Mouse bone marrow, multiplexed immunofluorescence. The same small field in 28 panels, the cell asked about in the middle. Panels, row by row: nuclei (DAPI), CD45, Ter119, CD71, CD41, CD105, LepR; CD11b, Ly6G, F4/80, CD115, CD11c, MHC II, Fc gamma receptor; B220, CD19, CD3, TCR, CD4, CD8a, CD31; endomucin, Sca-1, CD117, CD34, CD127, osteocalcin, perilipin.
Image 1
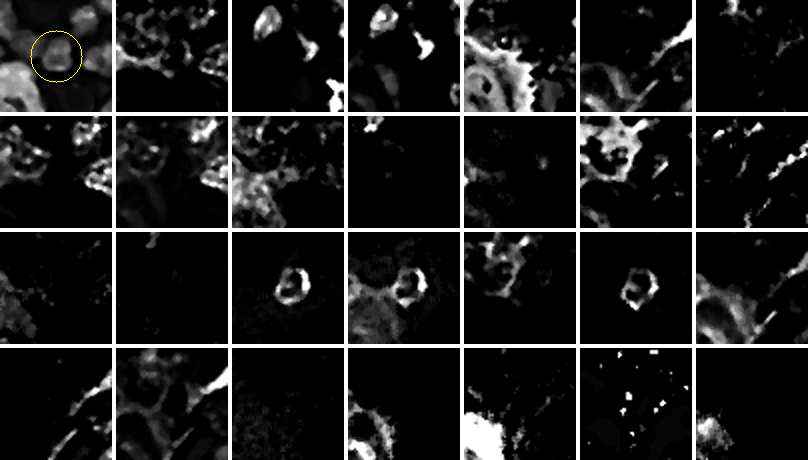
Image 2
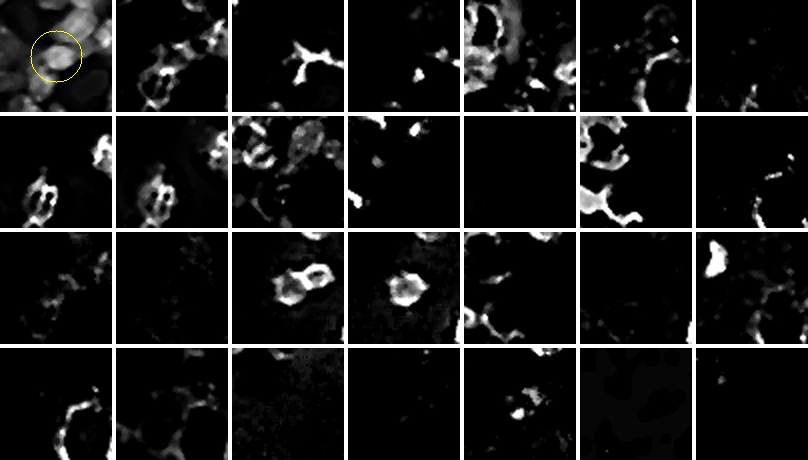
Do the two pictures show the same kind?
Yes, both are double-negative T cells.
